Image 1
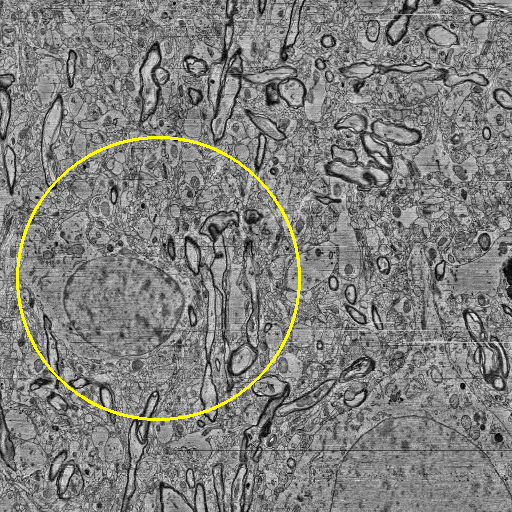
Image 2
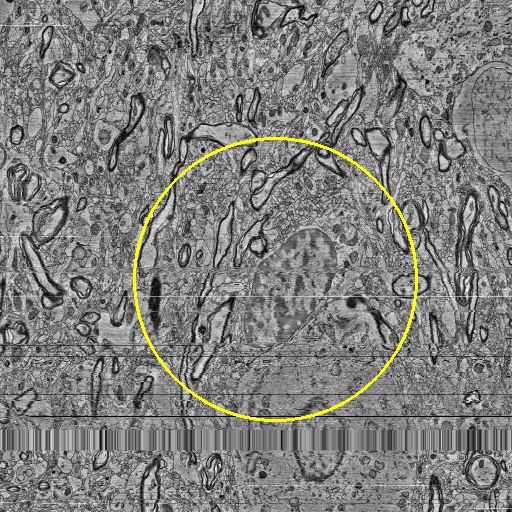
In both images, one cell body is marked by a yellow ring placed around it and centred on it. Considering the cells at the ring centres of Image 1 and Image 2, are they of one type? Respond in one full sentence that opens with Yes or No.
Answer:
Yes, a single type applies to the ring-centred cells of both Image 1 and Image 2.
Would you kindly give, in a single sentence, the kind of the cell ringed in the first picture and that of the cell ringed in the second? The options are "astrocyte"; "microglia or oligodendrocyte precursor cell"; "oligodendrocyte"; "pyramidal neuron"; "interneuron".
Each of the two rings is centred on a microglial cell or oligodendrocyte precursor cell.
